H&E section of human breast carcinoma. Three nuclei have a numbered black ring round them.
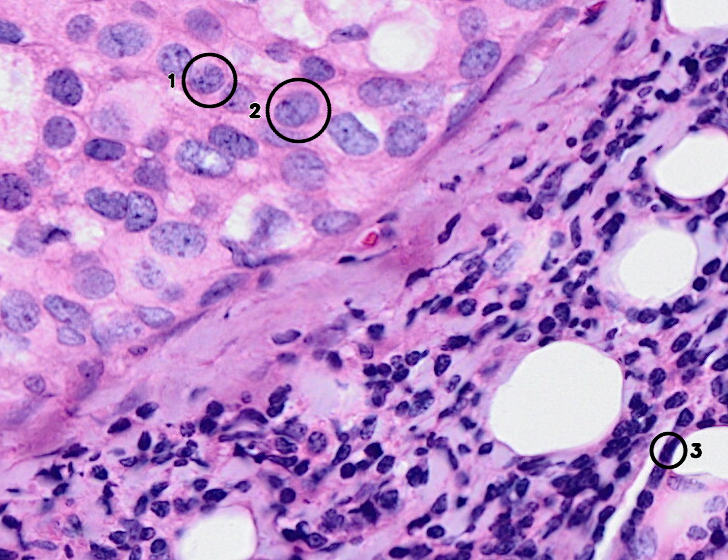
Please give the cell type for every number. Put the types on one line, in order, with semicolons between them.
carcinoma cell; carcinoma cell; lymphocyte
